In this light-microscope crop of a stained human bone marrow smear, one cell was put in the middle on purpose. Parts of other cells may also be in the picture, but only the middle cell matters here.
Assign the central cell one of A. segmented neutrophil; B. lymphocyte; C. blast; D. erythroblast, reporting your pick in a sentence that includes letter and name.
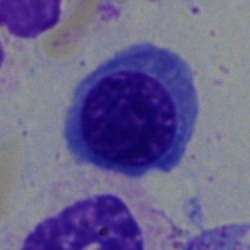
That middle cell is an erythroblast, and option D is therefore correct.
